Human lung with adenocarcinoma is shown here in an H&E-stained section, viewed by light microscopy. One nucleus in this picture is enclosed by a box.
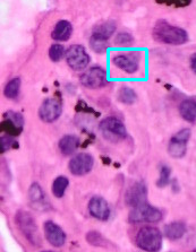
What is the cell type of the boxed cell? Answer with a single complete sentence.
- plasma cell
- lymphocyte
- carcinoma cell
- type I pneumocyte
The identity of the boxed cell: it is a lymphocyte.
